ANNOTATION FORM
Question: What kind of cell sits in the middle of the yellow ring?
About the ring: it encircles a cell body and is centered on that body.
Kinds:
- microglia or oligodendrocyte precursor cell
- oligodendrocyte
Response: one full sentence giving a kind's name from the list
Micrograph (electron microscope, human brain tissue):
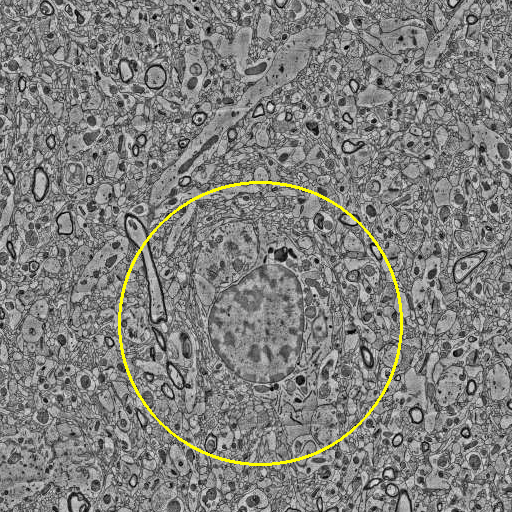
The kind of cell found at the center of the yellow ring in the micrograph is a microglial cell or oligodendrocyte precursor cell.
